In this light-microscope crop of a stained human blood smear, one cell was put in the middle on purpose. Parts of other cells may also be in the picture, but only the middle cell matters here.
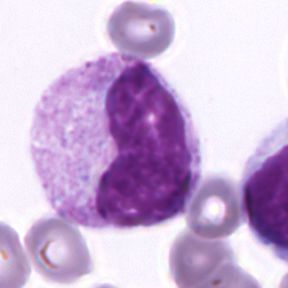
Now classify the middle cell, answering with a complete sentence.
The cell sitting right in the middle is a metamyelocyte.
